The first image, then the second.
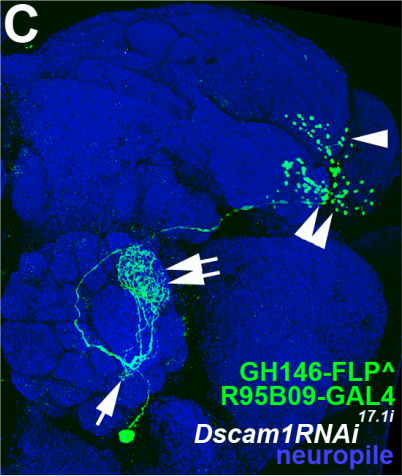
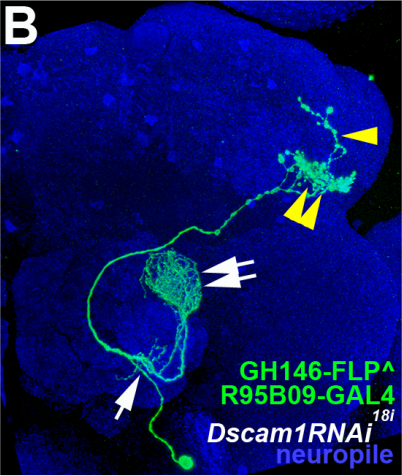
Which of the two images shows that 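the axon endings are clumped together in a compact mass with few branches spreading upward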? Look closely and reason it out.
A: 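First image: the axon endings at upper right are spread out as many separate boutons reaching upward and downward. Second image: the axon endings at upper right form a dense, compact clump with only a few thin branches leaving it.
Answer: the second image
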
